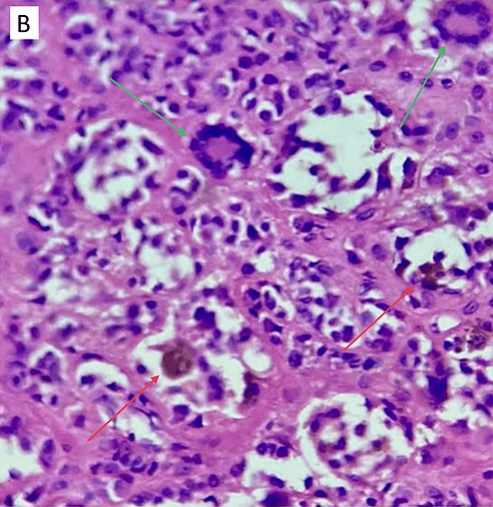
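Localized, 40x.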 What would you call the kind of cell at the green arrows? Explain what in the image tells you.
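Large cells with many dark nuclei clustered together. They are several times larger than the surrounding cells.
Multinucleated giant cells.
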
